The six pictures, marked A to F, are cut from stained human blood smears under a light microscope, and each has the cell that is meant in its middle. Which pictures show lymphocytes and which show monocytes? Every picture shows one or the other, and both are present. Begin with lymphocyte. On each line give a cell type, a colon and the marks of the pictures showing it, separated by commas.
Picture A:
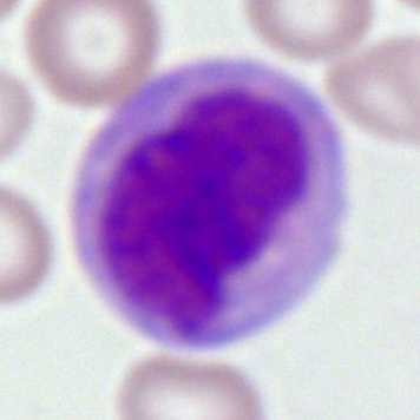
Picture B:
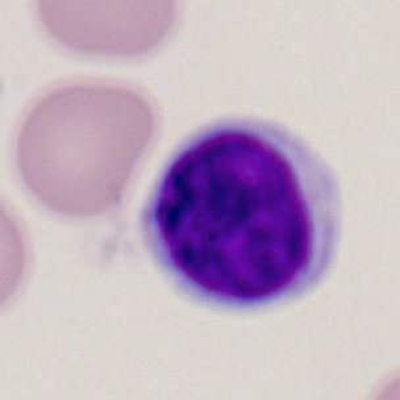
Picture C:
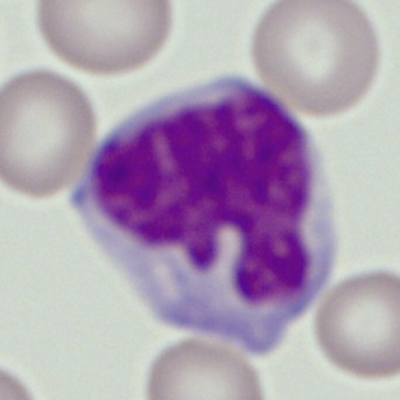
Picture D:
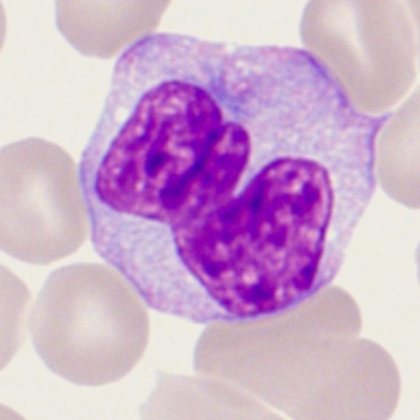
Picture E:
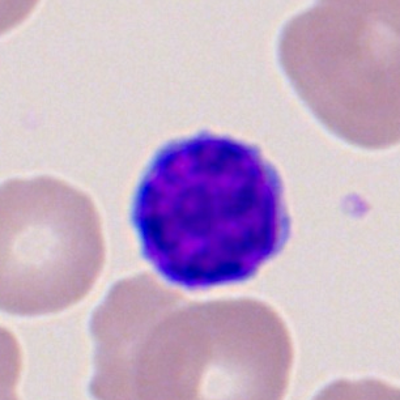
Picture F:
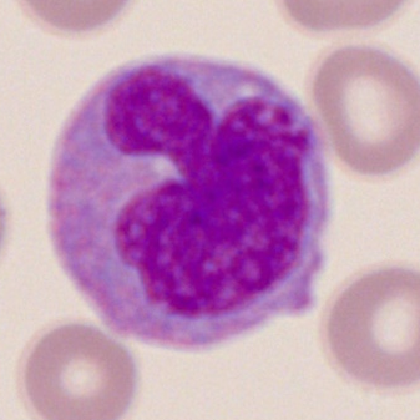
lymphocyte: B, E
monocyte: A, C, D, F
